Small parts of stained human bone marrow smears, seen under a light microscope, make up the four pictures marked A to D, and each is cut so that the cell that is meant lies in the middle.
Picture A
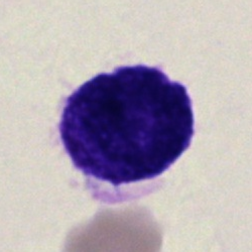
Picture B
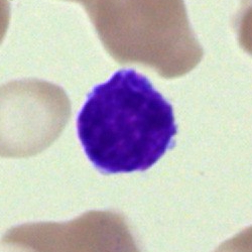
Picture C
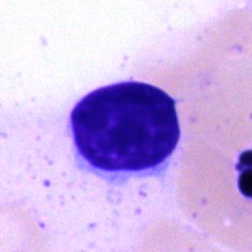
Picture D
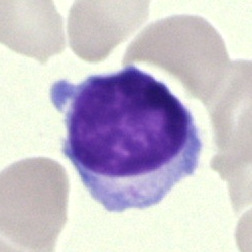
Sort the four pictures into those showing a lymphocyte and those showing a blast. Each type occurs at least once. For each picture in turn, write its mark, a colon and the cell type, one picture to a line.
A: blast
B: lymphocyte
C: lymphocyte
D: lymphocyte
